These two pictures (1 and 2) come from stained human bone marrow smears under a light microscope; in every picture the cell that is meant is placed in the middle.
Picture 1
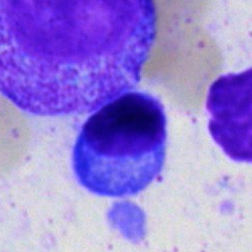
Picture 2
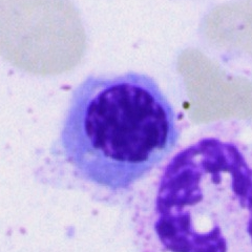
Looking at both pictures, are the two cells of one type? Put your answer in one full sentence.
No, the types are not the same, since picture 1 shows a plasma cell and picture 2 an erythroblast.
